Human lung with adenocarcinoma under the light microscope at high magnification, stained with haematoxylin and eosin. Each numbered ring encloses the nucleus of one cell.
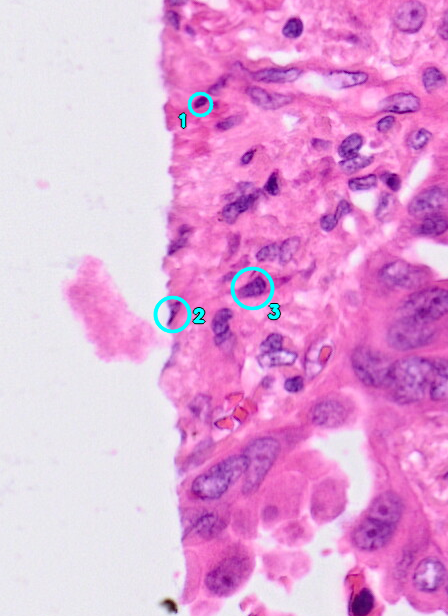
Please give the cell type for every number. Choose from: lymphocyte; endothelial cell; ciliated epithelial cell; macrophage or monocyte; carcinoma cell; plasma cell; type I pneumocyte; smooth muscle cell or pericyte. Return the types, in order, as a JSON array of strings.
["smooth muscle cell or pericyte", "endothelial cell", "plasma cell"]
